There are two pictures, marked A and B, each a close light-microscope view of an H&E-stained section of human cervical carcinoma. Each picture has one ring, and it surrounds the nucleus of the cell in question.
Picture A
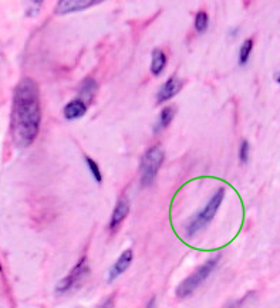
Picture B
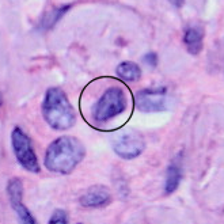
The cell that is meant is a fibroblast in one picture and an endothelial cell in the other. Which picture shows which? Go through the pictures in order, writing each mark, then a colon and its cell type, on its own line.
A: fibroblast
B: endothelial cell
